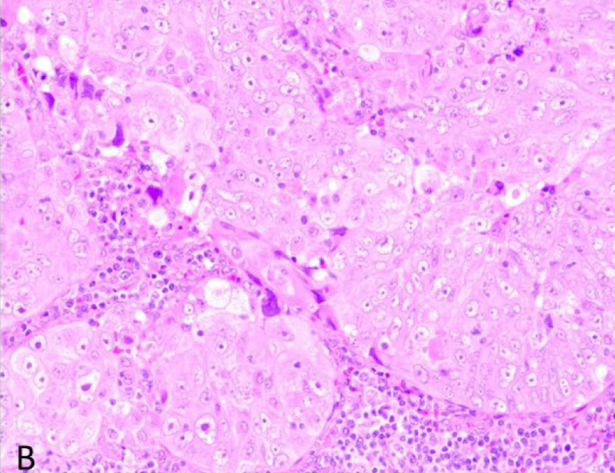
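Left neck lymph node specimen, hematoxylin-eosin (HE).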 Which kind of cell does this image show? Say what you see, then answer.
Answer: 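Tumor cells. Large polygonal cells with abundant pale pink cytoplasm form cohesive nests. Nuclei are enlarged, vesicular, with prominent nucleoli. Some cells are bizarre with dark, hyperchromatic nuclei. Small round lymphocytes lie between the nests.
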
